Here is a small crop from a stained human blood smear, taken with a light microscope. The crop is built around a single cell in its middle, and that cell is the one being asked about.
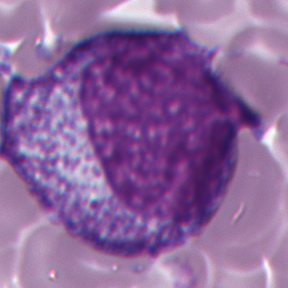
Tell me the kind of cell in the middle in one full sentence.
Centred in the crop is a promyelocyte.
